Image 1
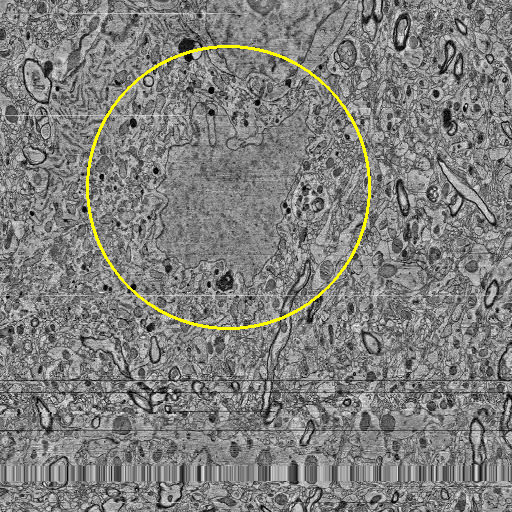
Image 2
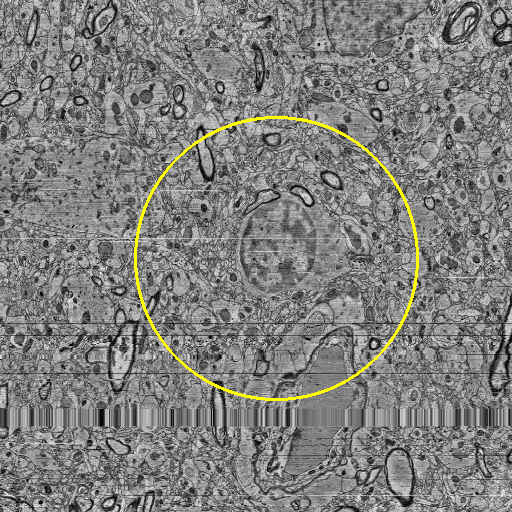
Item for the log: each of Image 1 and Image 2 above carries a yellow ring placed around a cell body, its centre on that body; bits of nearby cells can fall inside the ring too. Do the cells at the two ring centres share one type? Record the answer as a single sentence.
No, the two cells at the ring centres in Image 1 and Image 2 are of two types.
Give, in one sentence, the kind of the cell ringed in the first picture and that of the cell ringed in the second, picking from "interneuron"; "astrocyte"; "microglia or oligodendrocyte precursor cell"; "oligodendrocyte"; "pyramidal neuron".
For the first picture it is a pyramidal neuron; for the second, an oligodendrocyte.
